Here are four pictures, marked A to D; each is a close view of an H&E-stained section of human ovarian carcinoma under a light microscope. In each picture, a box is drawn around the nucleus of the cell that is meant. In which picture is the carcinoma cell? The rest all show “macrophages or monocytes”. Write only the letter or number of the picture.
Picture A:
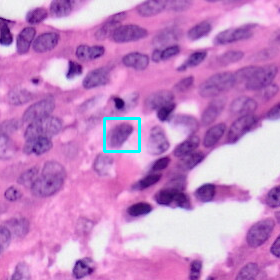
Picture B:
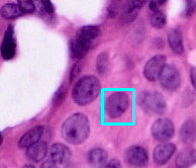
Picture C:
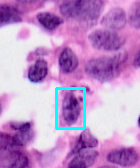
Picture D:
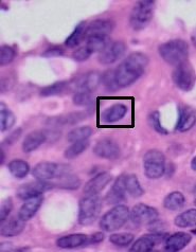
B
